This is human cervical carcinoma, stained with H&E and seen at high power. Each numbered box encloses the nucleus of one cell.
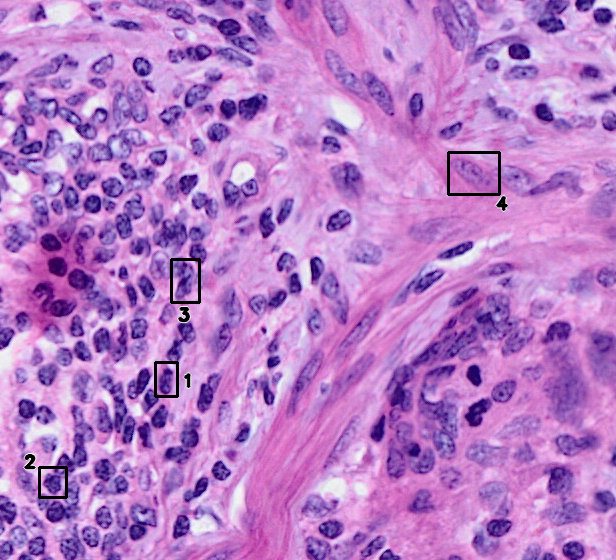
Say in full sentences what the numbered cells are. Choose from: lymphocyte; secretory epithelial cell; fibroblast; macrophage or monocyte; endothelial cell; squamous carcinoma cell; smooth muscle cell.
Cells 1, 2 and 3 are lymphocytes. Cell 4 is a smooth muscle cell.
